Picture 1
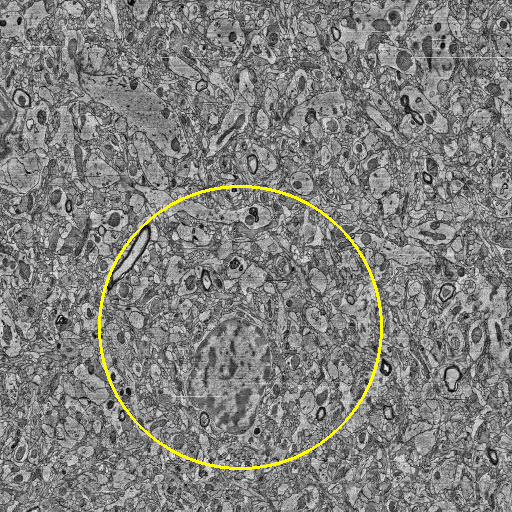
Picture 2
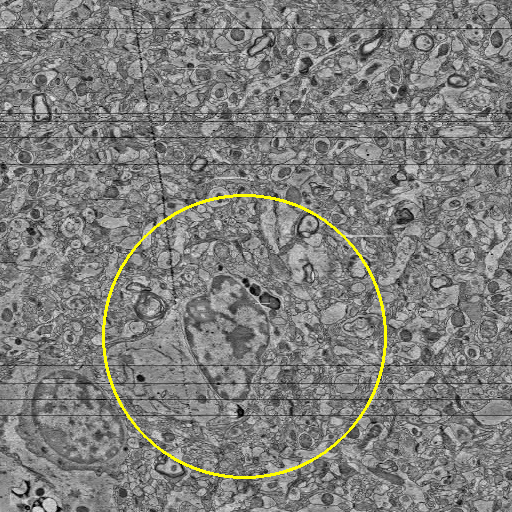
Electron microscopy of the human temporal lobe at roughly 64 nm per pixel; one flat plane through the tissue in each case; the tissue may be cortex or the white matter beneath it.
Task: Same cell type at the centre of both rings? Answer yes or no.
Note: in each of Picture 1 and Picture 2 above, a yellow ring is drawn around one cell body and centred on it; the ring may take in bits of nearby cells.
yes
